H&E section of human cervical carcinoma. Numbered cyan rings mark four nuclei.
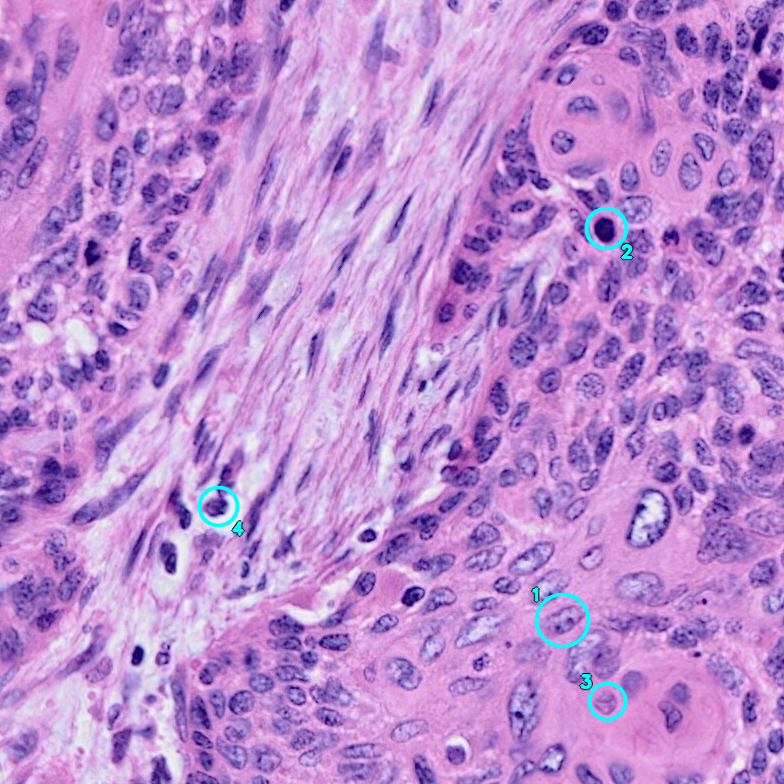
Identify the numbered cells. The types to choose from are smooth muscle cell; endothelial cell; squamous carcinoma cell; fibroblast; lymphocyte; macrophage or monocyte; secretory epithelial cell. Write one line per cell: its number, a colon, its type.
1: squamous carcinoma cell
2: squamous carcinoma cell
3: squamous carcinoma cell
4: lymphocyte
